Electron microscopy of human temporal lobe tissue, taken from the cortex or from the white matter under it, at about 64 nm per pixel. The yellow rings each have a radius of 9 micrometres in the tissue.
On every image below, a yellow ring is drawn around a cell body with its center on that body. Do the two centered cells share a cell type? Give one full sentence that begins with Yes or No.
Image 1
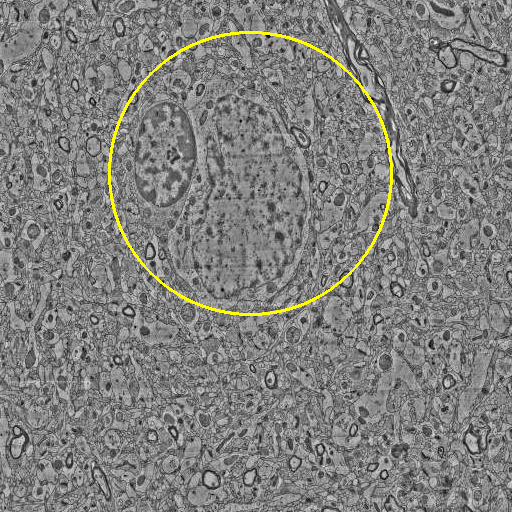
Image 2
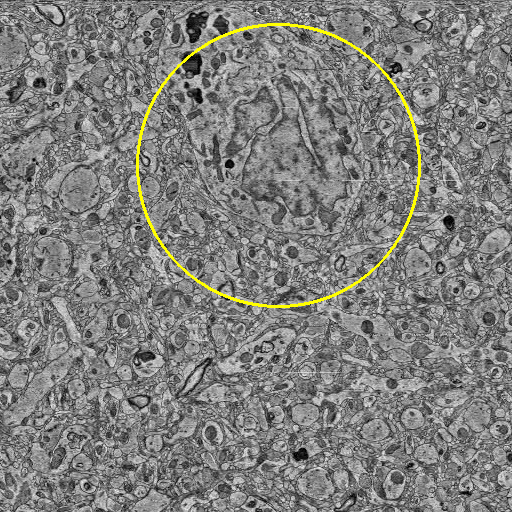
Yes, the centered cells in the two images are of a single cell type.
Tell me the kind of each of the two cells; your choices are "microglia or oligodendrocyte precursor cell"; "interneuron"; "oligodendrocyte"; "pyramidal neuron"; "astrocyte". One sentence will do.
In the first picture and in the second, the ring is centred on an interneuron.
